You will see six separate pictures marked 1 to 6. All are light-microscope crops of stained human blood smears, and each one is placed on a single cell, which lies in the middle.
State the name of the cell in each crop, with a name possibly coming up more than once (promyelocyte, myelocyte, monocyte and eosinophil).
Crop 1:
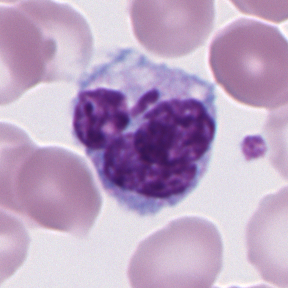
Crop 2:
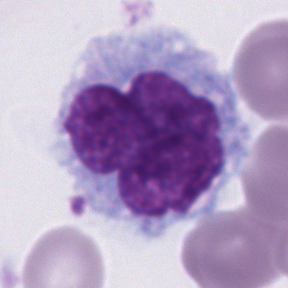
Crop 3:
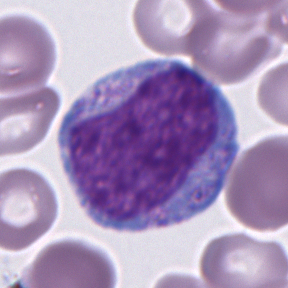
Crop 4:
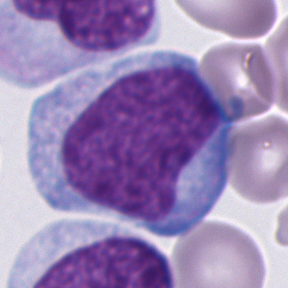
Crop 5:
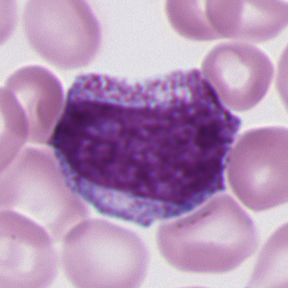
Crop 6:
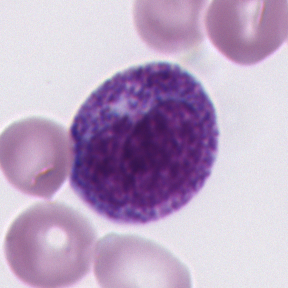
1: monocyte
2: monocyte
3: promyelocyte
4: promyelocyte
5: myelocyte
6: myelocyte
